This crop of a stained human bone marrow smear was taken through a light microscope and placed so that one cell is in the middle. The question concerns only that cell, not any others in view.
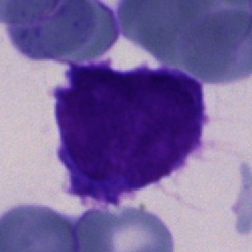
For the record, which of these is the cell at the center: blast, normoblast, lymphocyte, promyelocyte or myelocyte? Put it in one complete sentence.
The cell centred in this crop is categorized as a blast.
